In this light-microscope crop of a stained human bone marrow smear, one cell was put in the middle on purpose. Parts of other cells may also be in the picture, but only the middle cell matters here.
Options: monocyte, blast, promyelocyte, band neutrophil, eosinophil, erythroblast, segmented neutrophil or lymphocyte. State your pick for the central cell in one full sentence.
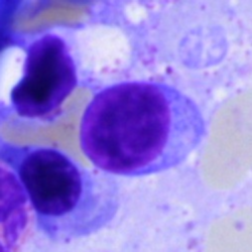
In short, the cell at the center is a lymphocyte.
